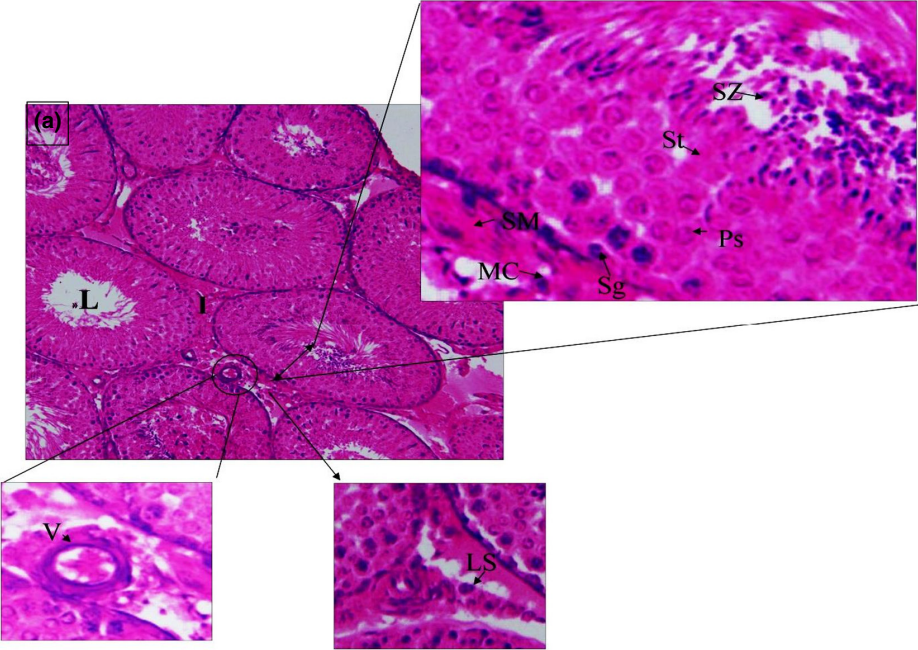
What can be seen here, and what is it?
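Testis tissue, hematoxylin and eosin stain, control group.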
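Seminiferous tubules cut in cross section are packed closely, each lined by a thick, layered epithelium of pink-stained germ cells surrounding a central lumen, with narrow interstitial tissue and a small vessel between them. In the enlarged view, small dark-nucleated spermatogonia sit at the base of the epithelium next to flattened myoid cells and a thin smooth-muscle layer outside the tubule. Larger round cells with rounded nuclei, the primary spermatocytes, lie above them, followed by smaller round spermatids toward the lumen. Clusters of dark, elongated spermatozoa heads crowd the luminal edge, showing full progression of spermatogenesis.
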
